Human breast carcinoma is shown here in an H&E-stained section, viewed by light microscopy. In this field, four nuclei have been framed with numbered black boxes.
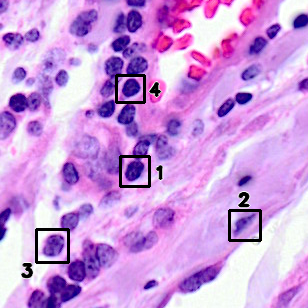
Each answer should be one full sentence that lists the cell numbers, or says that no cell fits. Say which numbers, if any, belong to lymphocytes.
The cells referred to by the numbers 1, 3 and 4 are lymphocytes.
